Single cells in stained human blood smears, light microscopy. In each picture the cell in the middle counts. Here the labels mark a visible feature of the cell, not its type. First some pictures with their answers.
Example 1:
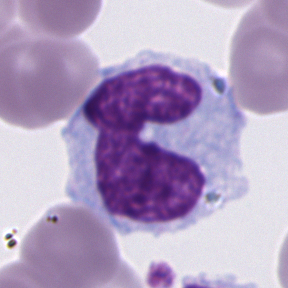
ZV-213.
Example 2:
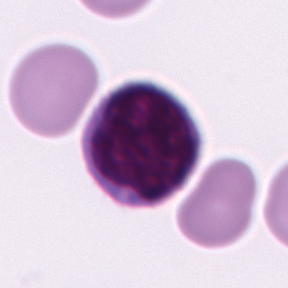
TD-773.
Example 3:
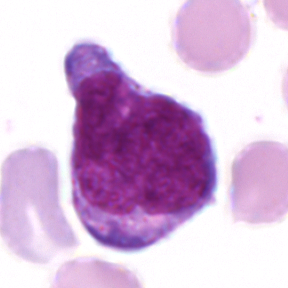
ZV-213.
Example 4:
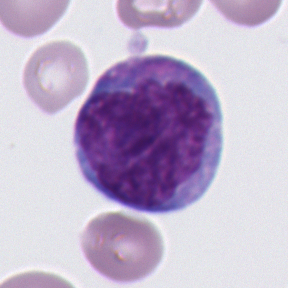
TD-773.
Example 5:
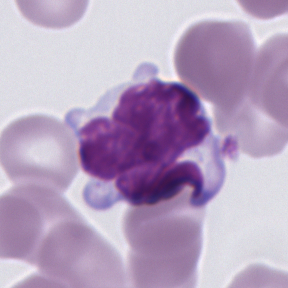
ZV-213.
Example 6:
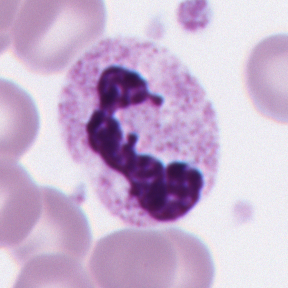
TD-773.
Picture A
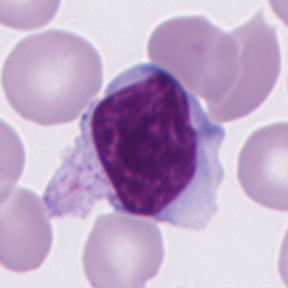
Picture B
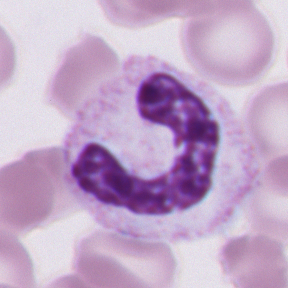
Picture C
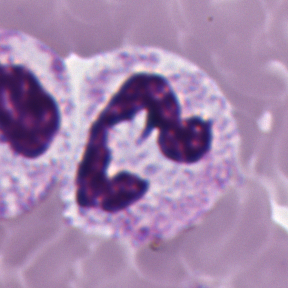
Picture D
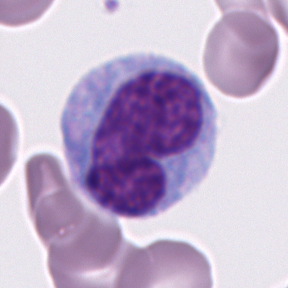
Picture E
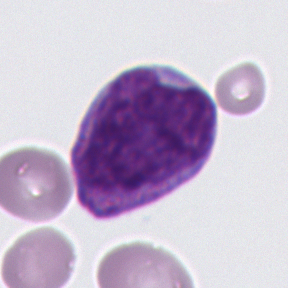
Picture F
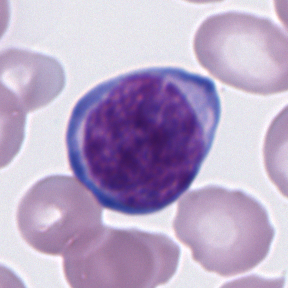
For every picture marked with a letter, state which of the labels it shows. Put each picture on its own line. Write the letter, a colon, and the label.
A: ZV-213.
B: TD-773.
C: TD-773.
D: TD-773.
E: TD-773.
F: TD-773.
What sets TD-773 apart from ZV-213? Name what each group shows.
Seen in TD-773: smooth outline; seen in ZV-213: ragged outline or projections.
